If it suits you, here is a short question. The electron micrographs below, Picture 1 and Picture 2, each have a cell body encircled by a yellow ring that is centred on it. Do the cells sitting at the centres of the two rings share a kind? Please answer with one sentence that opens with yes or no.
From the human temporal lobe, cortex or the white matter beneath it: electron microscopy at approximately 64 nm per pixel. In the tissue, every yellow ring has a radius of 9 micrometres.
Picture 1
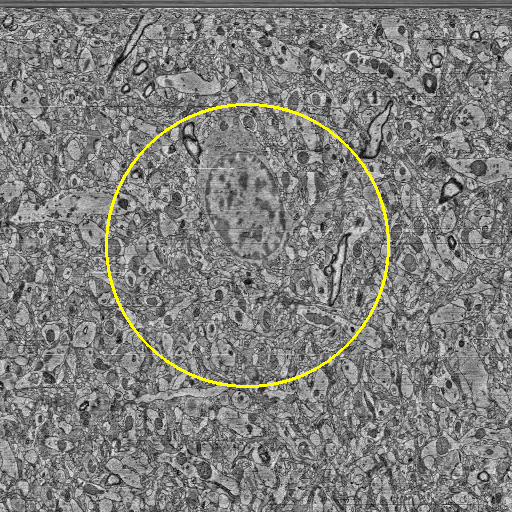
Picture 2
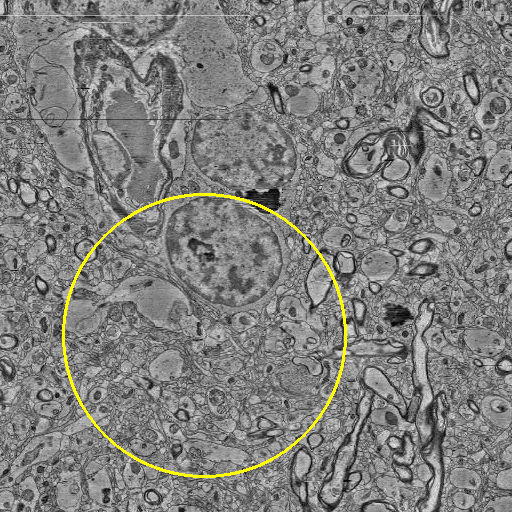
No, the two cells sitting at the ring centres fall into two kinds.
